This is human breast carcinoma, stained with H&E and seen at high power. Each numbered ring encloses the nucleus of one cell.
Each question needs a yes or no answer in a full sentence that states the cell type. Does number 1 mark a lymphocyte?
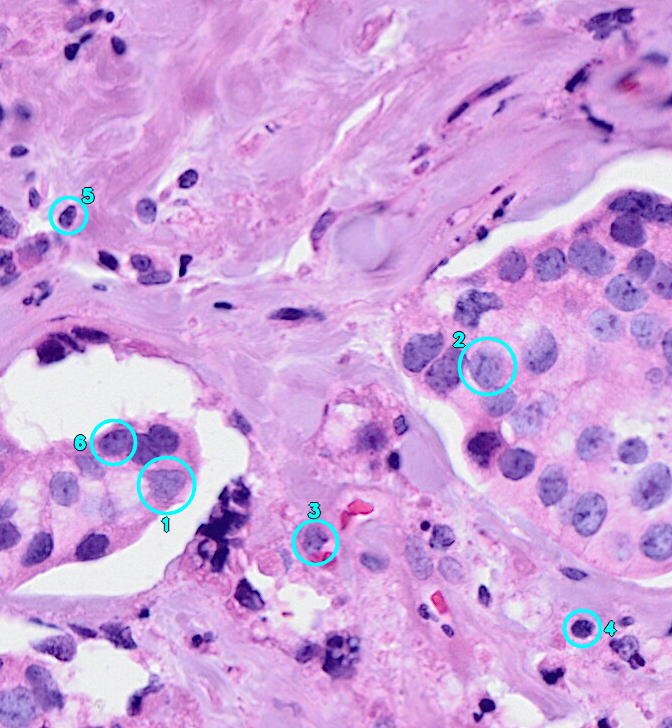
No, the cell indicated by 1 is a carcinoma cell instead of a lymphocyte.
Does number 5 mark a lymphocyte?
Yes, the cell given number 5 is a lymphocyte.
